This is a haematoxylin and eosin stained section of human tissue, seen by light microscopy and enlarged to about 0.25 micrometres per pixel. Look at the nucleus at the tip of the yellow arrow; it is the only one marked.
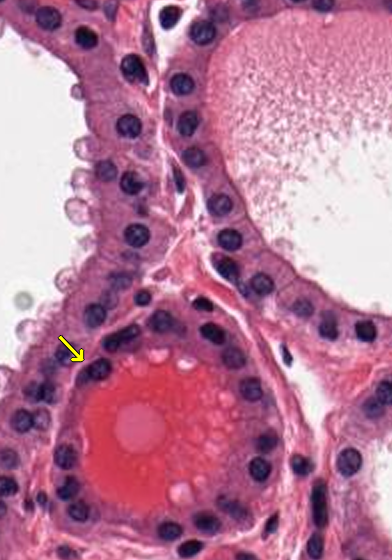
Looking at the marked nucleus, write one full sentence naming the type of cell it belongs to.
The marked nucleus is recognized as the nucleus of a thyroid follicular cell.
